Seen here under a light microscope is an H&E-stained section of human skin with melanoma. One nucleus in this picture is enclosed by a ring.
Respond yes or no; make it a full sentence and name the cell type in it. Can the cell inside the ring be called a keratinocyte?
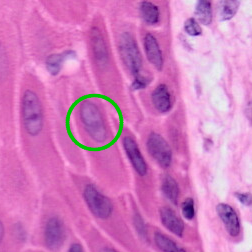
Yes, within this tissue section, the cell inside the ring is a keratinocyte.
